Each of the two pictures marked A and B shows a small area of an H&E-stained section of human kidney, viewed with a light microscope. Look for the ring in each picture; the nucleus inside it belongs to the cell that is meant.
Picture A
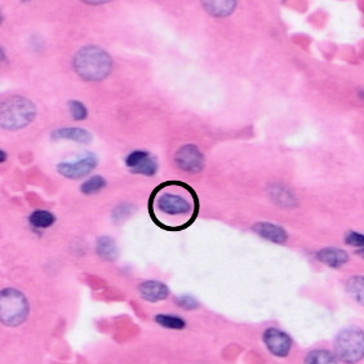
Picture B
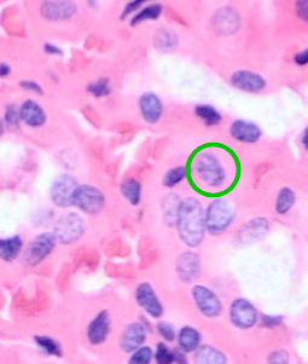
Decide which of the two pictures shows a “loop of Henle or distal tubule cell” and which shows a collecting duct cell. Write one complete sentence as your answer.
The cell in picture A is a “loop of Henle or distal tubule cell”, and the one in picture B is a collecting duct cell.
